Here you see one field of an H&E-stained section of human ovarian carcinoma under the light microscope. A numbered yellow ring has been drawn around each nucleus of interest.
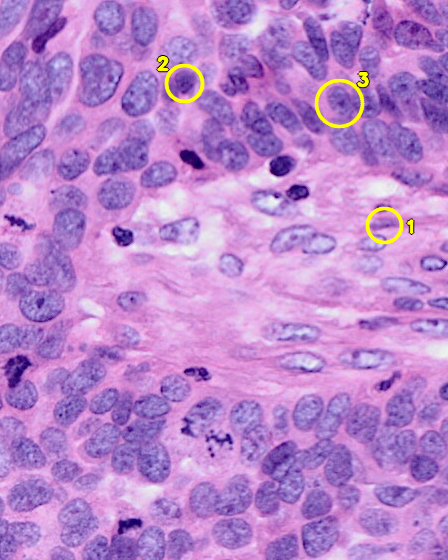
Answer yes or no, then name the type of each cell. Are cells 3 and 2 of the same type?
Yes, the two cells marked 3 and 2 are both carcinoma cells.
